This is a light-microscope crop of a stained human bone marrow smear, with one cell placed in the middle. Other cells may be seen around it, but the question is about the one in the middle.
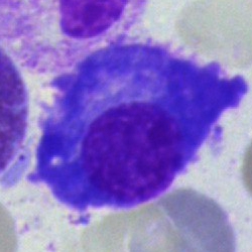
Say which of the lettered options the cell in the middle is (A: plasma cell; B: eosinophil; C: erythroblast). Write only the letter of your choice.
A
